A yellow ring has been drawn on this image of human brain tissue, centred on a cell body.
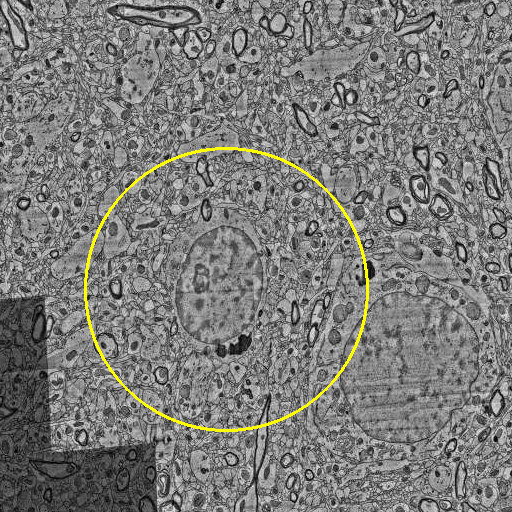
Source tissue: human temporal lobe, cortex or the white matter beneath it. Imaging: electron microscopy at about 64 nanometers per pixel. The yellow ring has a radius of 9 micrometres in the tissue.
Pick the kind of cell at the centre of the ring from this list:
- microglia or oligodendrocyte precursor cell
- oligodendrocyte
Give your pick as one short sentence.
The centre of the ring holds an oligodendrocyte.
